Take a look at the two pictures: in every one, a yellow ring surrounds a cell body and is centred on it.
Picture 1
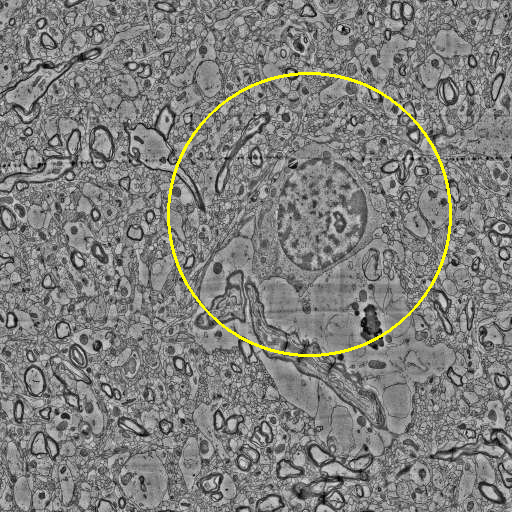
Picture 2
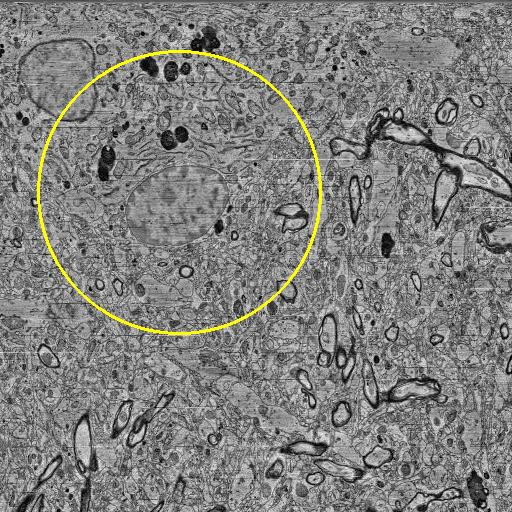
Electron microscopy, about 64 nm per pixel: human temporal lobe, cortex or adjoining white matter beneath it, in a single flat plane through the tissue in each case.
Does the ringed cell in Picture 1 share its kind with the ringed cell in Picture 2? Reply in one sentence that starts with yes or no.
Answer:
No, the two centred cells, one per picture, are of two kinds.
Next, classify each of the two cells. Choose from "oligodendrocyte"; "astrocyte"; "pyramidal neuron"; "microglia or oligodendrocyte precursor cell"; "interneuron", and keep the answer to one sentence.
In the first picture it is an oligodendrocyte; in the second it is a microglial cell or oligodendrocyte precursor cell.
